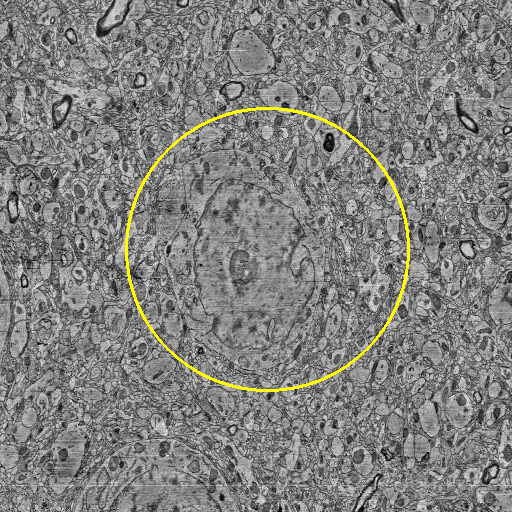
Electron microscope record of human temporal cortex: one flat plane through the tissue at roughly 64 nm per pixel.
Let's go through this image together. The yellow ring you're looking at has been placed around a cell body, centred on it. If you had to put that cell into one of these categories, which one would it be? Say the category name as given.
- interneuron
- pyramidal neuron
interneuron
